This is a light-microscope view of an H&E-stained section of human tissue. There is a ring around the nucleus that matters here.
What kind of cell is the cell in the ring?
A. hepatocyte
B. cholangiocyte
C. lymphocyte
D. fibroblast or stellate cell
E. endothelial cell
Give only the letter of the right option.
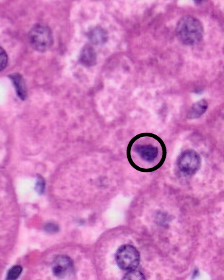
D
